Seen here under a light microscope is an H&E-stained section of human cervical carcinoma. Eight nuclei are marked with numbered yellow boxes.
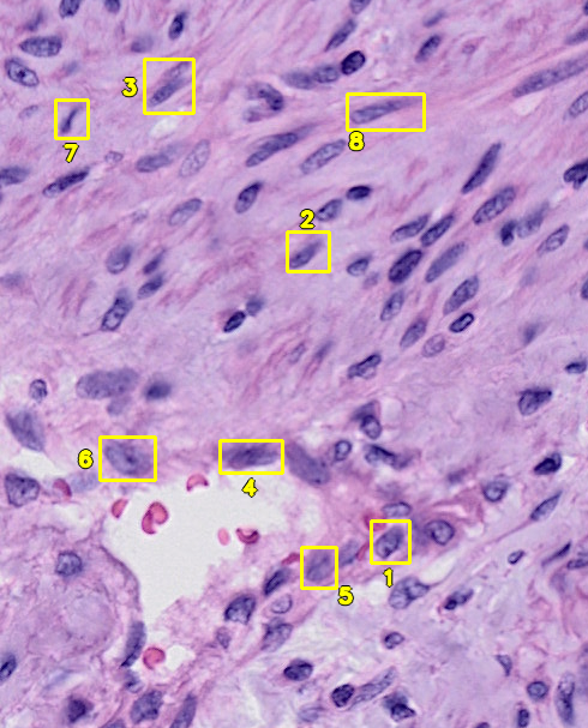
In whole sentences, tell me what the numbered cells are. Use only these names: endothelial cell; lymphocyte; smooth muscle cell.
Cell 1 is an endothelial cell, cell 2 is a smooth muscle cell, cell 3 is a smooth muscle cell, cell 4 is an endothelial cell, cell 5 is an endothelial cell, cell 6 is an endothelial cell, cell 7 is a smooth muscle cell and cell 8 is a smooth muscle cell.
